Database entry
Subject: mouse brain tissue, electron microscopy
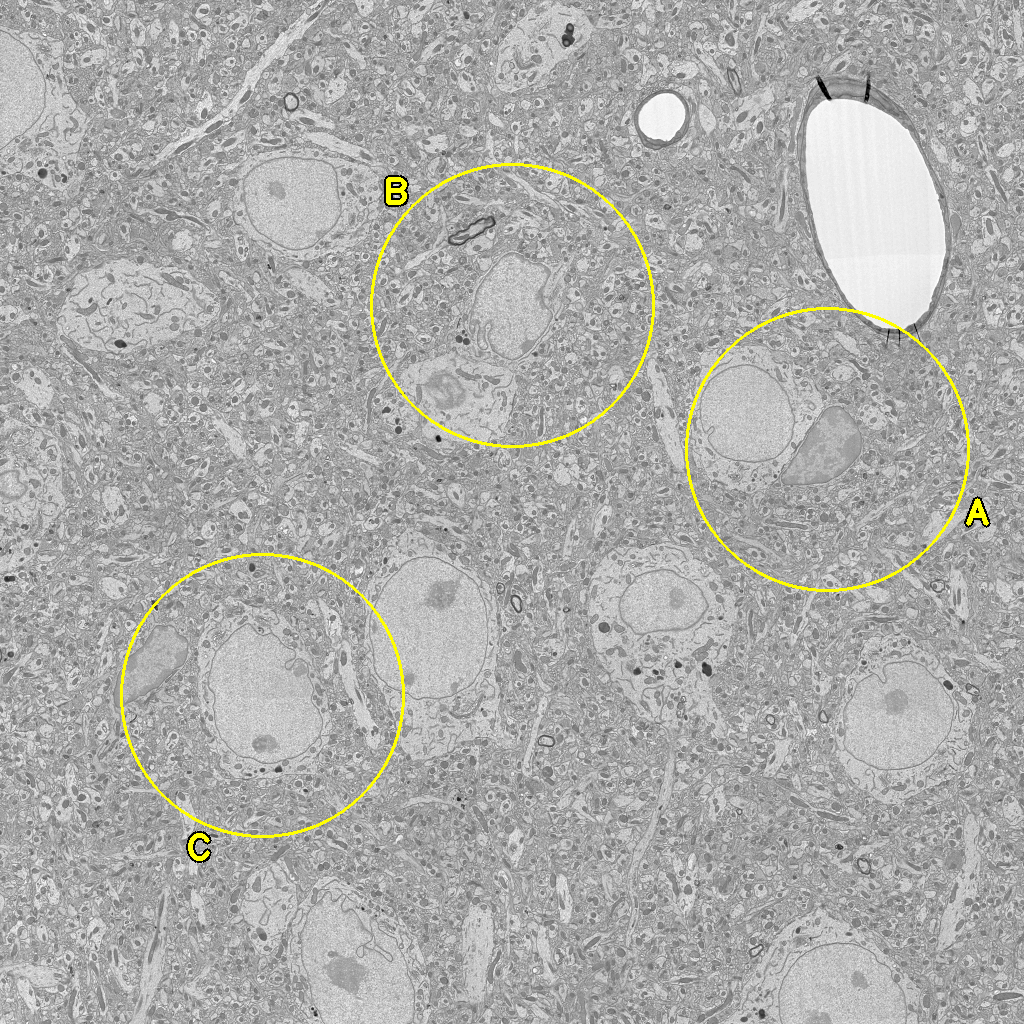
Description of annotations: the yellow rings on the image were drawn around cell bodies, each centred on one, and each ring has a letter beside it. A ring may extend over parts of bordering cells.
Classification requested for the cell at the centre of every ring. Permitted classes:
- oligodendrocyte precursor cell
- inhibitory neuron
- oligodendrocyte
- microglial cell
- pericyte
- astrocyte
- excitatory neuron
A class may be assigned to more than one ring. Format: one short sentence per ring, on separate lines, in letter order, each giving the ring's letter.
The cell body at the centre of ring A is a microglial cell.
The cell body at the centre of ring B is an oligodendrocyte precursor cell.
The cell body at the centre of ring C is an excitatory neuron.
